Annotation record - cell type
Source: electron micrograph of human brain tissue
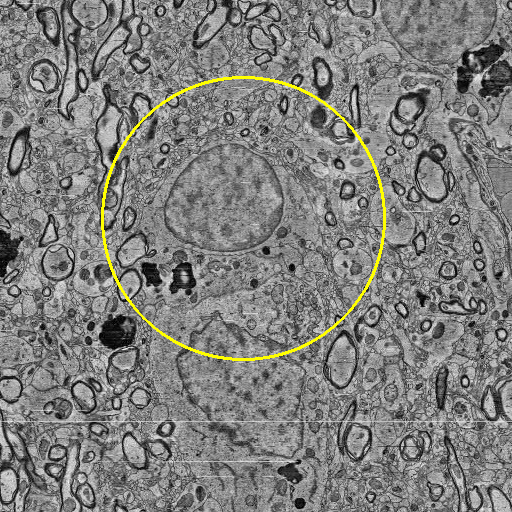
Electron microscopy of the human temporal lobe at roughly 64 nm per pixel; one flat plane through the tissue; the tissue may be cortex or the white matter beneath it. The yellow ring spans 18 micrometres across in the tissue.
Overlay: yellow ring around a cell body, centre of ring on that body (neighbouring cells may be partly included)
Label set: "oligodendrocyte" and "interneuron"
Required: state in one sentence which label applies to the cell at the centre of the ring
This cell should be labelled as an oligodendrocyte.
